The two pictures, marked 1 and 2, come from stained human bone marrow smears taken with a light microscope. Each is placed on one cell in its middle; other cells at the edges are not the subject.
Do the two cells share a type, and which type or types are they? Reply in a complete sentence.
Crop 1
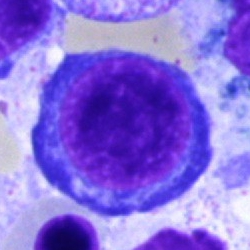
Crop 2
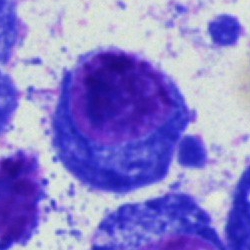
No, crop 1 shows a proerythroblast and crop 2 shows a plasma cell.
